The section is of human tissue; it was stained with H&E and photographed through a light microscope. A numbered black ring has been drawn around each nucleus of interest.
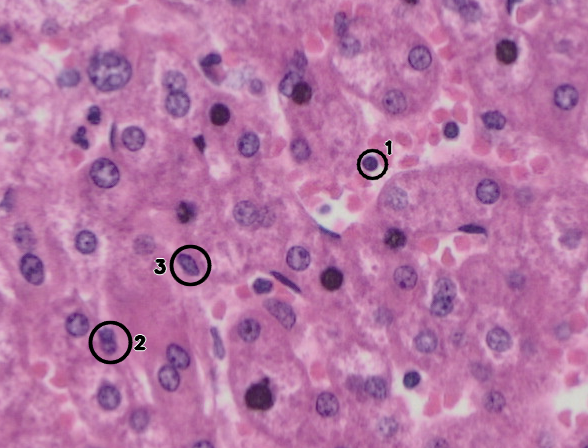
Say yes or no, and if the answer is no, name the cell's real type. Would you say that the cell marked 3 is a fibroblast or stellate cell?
Yes.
